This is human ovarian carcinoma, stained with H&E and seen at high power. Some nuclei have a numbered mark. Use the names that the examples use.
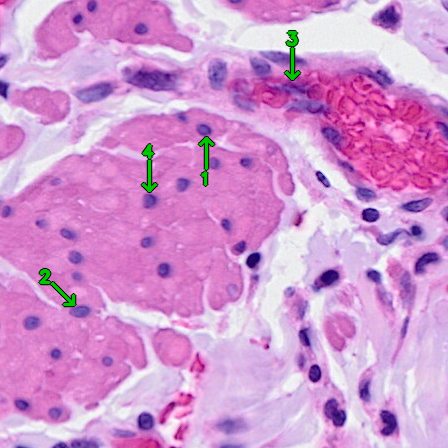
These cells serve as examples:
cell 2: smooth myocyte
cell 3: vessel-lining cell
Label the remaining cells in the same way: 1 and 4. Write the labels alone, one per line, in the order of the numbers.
smooth myocyte
smooth myocyte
